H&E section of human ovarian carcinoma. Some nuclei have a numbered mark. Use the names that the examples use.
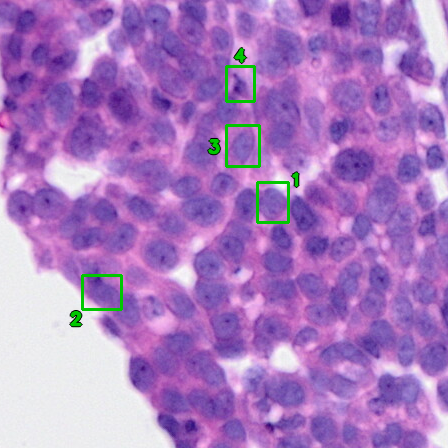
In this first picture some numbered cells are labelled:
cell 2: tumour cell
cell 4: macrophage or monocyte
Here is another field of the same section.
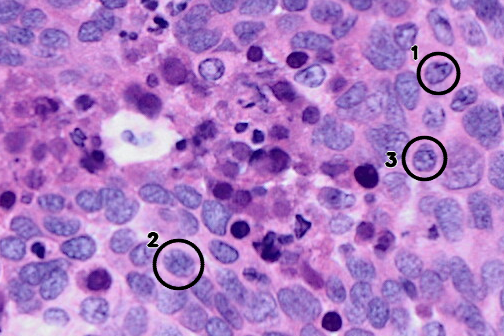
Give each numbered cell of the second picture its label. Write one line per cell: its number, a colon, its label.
1: macrophage or monocyte
2: tumour cell
3: macrophage or monocyte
